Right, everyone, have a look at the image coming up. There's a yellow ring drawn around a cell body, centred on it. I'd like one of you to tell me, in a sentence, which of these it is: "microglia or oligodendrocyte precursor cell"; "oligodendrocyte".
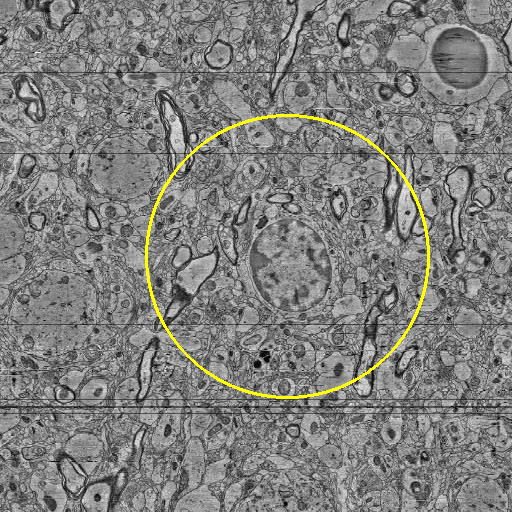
The yellow ring sits on a microglial cell or oligodendrocyte precursor cell.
